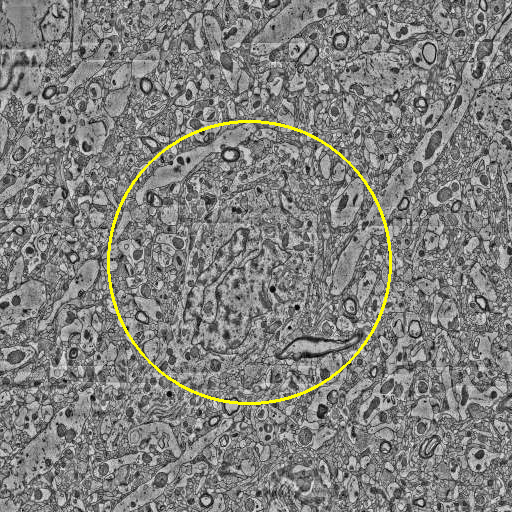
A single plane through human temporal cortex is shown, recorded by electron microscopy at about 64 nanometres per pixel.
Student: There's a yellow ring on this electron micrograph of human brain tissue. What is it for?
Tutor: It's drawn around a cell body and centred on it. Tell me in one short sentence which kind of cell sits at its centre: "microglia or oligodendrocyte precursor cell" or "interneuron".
The cell at the centre of the ring is an interneuron.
